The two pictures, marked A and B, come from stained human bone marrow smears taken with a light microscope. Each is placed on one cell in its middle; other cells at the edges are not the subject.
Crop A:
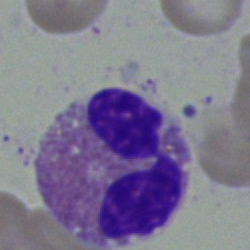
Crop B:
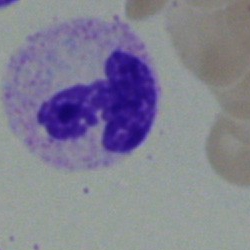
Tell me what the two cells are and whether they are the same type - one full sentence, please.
No, enter an eosinophil for crop A and a segmented neutrophil for crop B.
